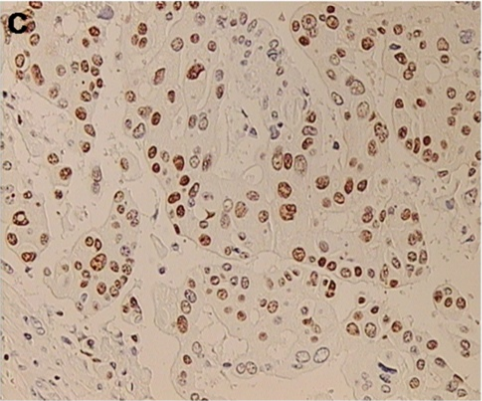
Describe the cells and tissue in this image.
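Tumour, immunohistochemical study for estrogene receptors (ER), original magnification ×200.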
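Nests of large epithelial cells with pale cytoplasm are separated by narrow strands of loose stroma. Most of the large nuclei within the nests are stained brown, some more intensely than others, whereas the small slender nuclei in the stroma remain blue. The brown colour is confined to the nuclei and spares the cytoplasm.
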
